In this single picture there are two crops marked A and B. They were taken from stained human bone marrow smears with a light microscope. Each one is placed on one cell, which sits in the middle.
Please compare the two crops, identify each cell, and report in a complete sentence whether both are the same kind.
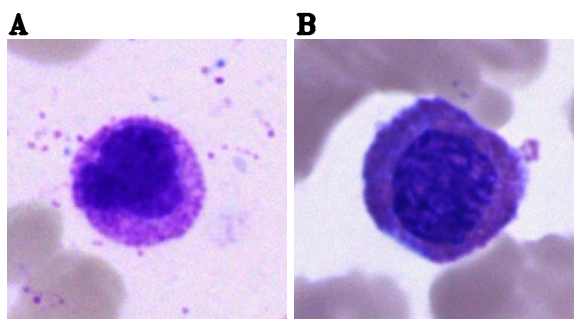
No, whereas crop A shows a basophil, crop B shows an eosinophil.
